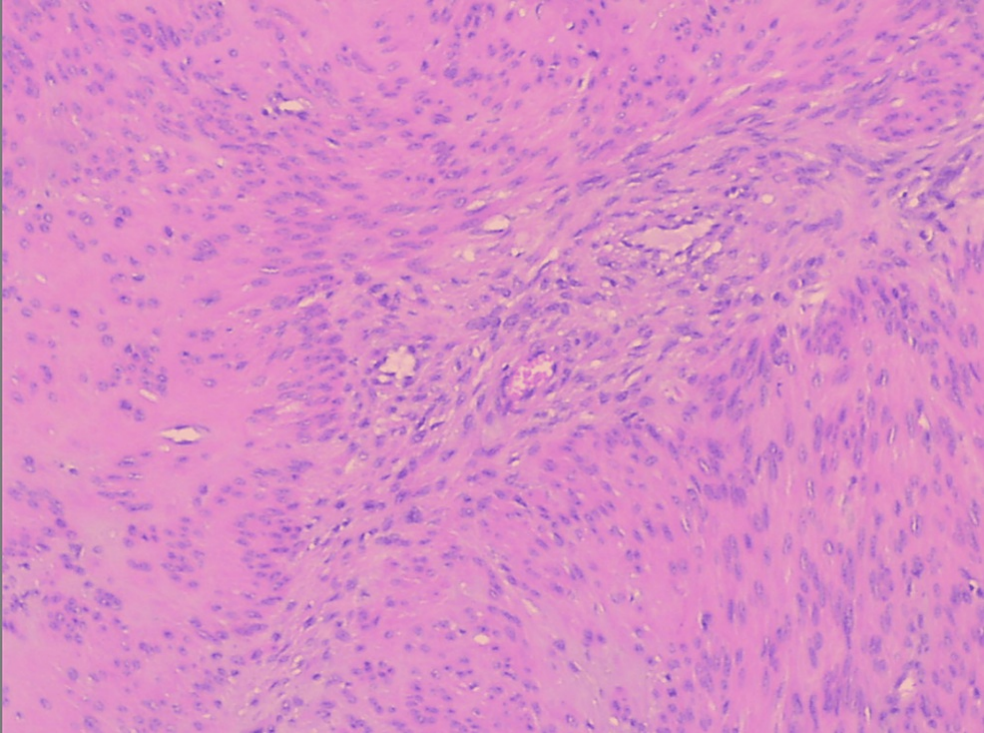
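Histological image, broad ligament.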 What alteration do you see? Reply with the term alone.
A: Fascicular cell growth pattern.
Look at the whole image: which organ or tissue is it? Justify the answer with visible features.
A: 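Fibroid. Spindle-shaped cells with elongated nuclei fill the field. Cells run in interlacing bundles with pink cytoplasm. Nuclei look uniform and bland.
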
